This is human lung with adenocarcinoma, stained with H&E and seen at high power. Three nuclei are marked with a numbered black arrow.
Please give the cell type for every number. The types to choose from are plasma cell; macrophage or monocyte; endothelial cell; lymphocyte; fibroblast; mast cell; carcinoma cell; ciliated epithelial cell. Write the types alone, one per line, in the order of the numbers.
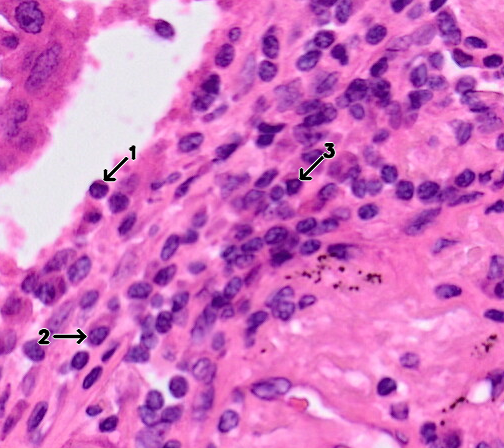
lymphocyte
plasma cell
plasma cell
